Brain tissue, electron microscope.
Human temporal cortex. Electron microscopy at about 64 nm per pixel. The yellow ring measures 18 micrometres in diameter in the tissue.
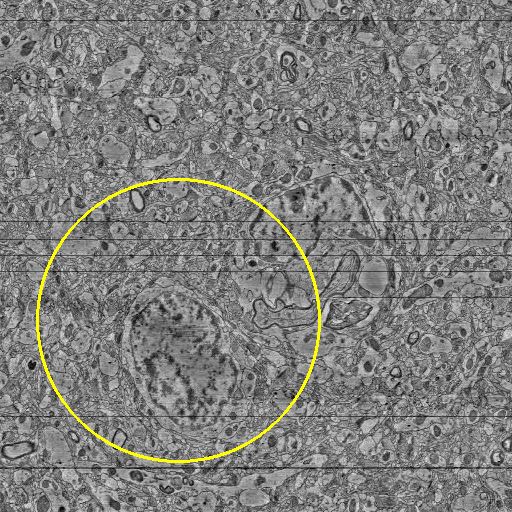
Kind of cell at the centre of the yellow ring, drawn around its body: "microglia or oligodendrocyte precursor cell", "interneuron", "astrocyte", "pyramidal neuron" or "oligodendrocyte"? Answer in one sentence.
The ring's centre falls on an interneuron.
